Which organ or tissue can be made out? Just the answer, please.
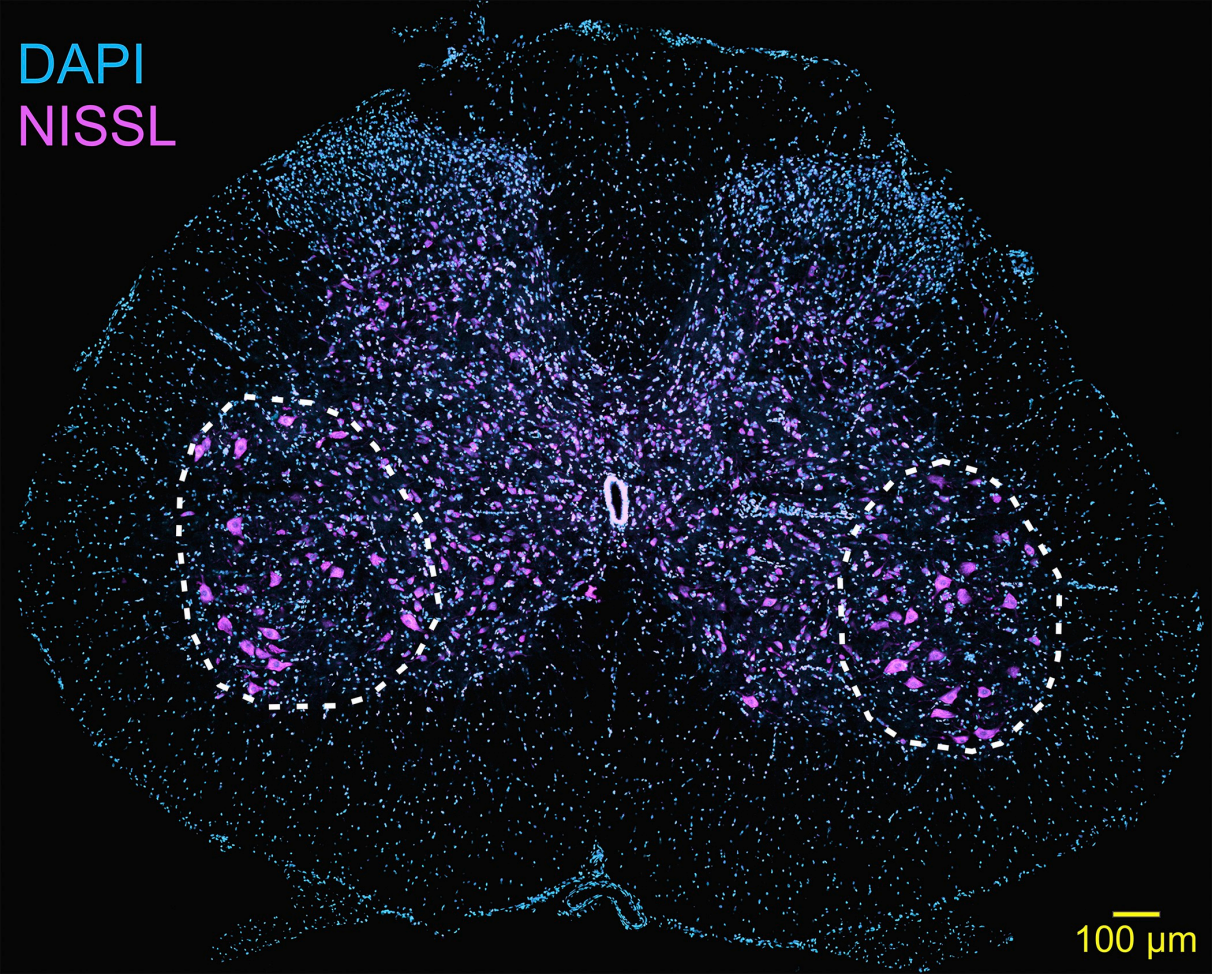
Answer: Spinal cord.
